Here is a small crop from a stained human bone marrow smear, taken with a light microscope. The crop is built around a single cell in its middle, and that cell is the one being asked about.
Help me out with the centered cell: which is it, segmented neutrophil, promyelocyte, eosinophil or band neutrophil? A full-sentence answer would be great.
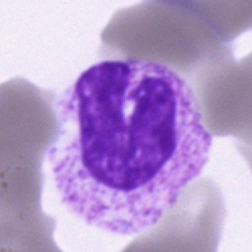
The cell at the middle of the crop is recognized as a band neutrophil.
